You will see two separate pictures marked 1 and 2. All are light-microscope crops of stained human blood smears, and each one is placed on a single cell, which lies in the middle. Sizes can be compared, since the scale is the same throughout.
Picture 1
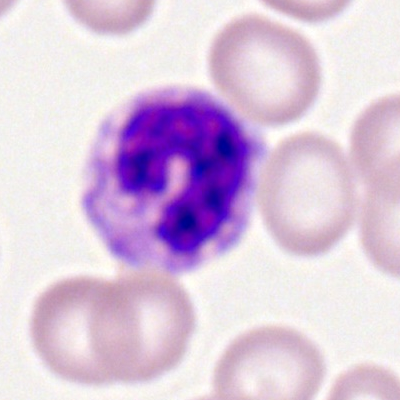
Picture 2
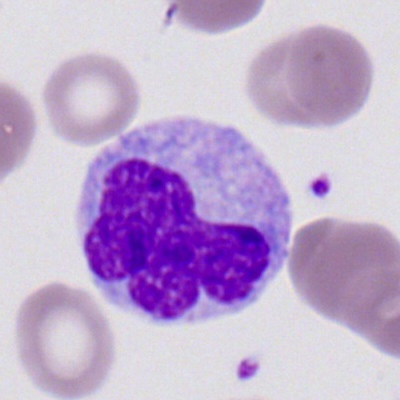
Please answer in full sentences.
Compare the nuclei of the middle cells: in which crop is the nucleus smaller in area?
Smaller is the nucleus in picture 1, and the other is about 1.5 times as large in area.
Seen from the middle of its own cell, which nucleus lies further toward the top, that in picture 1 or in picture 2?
In picture 1 the nucleus is shifted more toward the top.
